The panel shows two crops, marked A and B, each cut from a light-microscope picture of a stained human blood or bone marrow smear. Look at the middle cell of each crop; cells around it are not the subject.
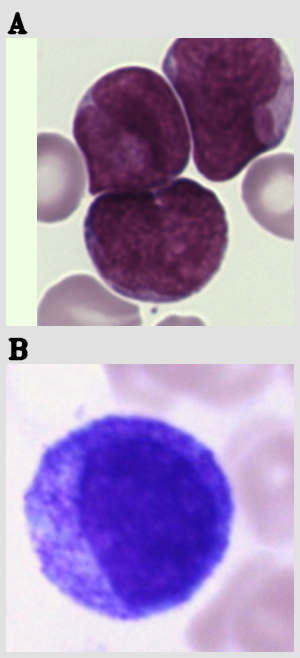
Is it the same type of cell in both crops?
no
